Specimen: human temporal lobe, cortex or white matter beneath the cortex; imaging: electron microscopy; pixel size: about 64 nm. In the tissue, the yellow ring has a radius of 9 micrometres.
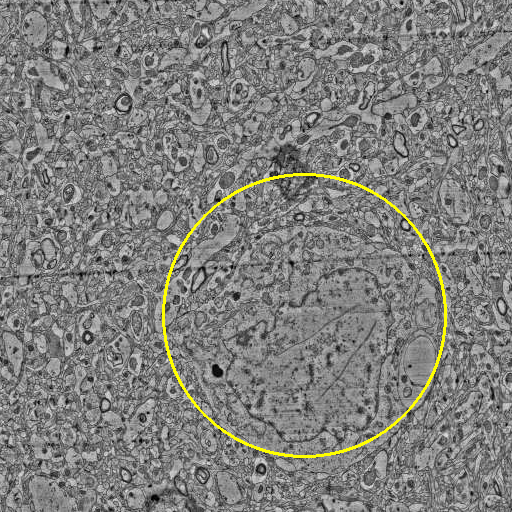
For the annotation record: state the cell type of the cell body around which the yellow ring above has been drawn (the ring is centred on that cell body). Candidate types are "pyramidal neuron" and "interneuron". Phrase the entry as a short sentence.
The ringed cell is an interneuron.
